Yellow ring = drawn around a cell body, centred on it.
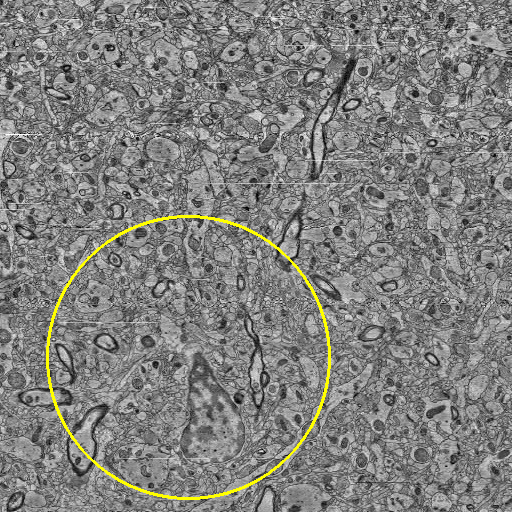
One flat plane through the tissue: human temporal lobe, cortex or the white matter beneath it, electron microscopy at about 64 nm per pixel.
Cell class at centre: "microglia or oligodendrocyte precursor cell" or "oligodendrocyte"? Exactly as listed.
microglia or oligodendrocyte precursor cell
